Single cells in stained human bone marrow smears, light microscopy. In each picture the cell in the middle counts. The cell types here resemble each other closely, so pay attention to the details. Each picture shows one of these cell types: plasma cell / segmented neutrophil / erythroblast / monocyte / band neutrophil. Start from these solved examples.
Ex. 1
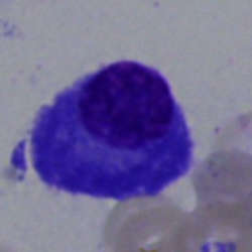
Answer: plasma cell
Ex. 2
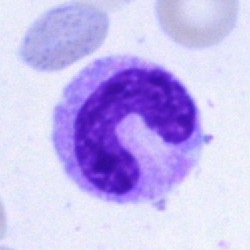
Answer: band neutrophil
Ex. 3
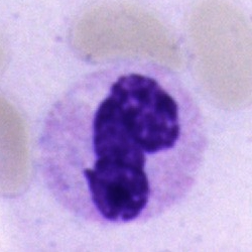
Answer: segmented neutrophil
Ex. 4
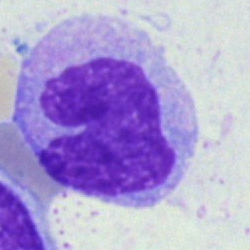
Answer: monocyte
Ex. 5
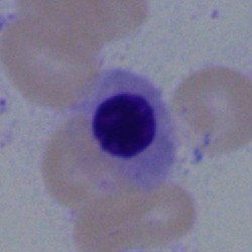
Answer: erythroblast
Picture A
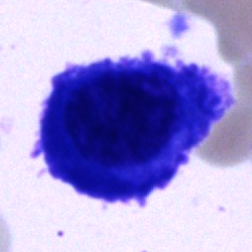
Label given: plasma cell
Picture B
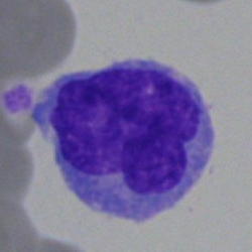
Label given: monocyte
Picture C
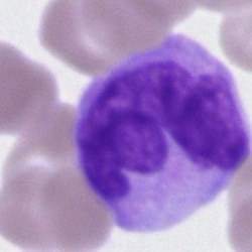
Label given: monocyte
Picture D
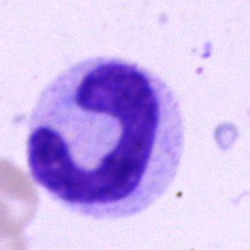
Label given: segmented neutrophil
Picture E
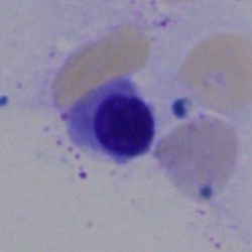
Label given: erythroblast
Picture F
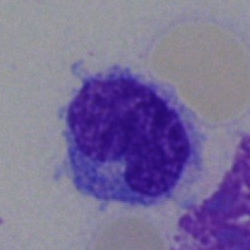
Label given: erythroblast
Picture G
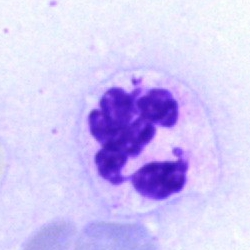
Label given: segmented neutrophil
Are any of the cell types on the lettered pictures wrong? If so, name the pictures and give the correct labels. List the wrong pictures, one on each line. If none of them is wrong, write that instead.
D should be band neutrophil, not segmented neutrophil
F should be monocyte, not erythroblast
